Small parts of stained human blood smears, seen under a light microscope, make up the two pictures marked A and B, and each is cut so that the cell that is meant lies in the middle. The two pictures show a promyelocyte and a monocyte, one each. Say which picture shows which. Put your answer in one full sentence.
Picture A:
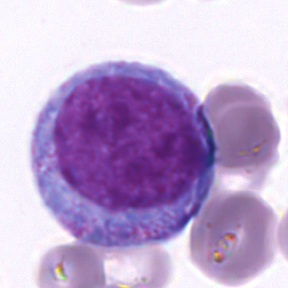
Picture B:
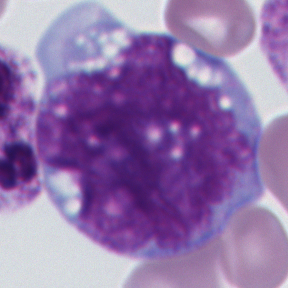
Picture A shows a promyelocyte and picture B shows a monocyte.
